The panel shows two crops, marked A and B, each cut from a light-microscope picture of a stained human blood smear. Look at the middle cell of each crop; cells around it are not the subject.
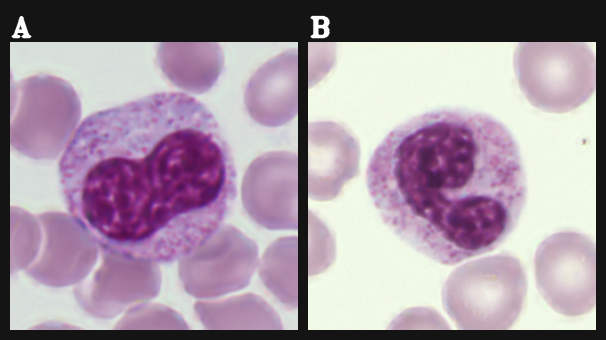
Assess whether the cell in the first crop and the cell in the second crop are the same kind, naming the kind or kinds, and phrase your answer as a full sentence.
No, crop A and crop B contain, respectively, a metamyelocyte and a band neutrophil.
